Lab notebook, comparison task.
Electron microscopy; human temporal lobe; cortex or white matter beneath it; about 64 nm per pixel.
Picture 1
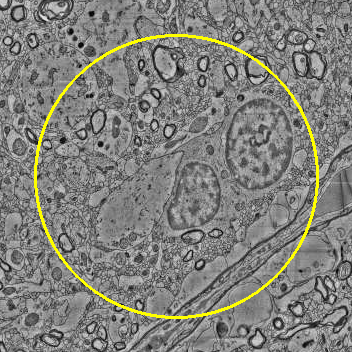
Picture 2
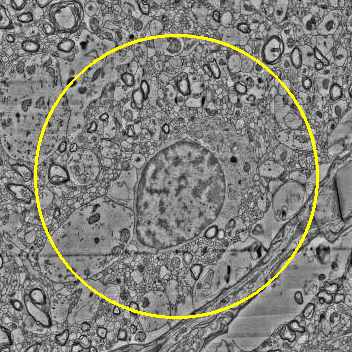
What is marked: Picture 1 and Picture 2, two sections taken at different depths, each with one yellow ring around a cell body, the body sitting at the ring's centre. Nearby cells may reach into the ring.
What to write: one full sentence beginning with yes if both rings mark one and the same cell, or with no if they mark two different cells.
Yes, these two rings point to one cell rather than two.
